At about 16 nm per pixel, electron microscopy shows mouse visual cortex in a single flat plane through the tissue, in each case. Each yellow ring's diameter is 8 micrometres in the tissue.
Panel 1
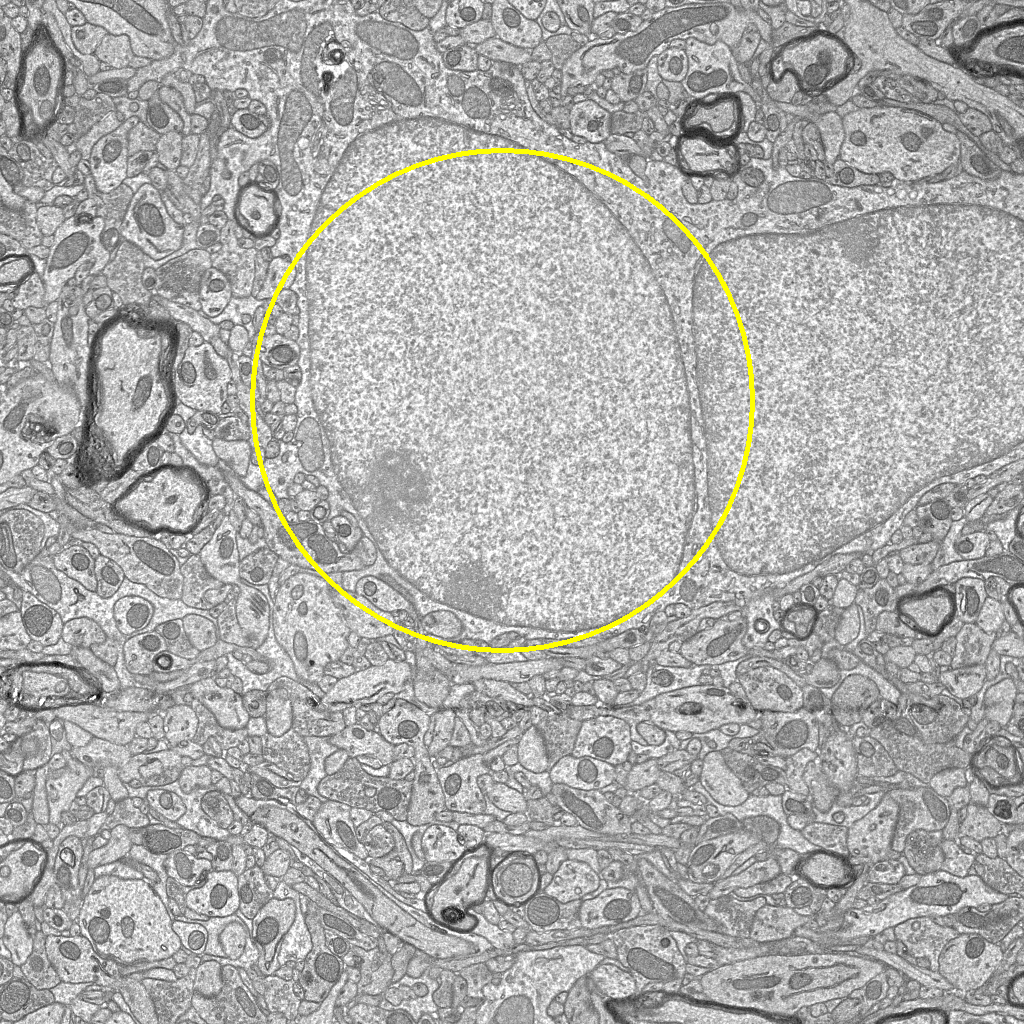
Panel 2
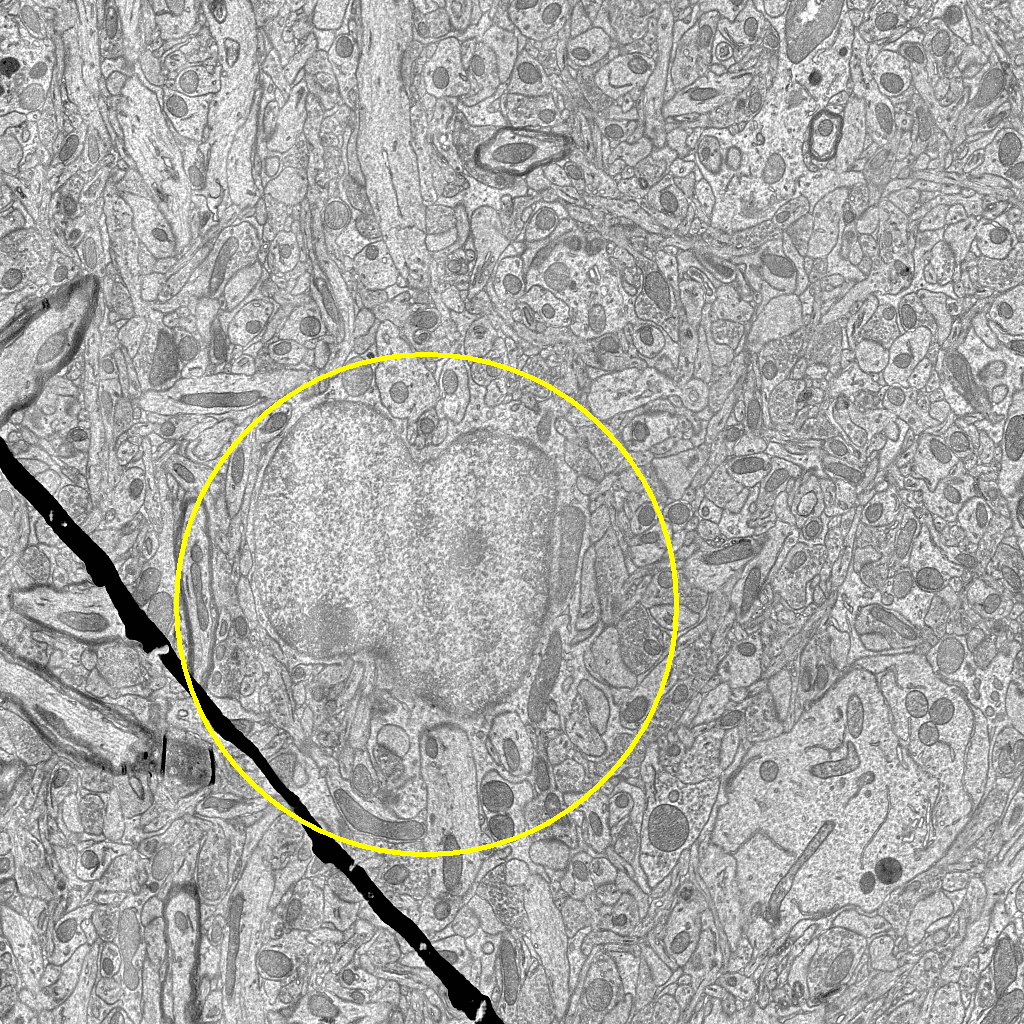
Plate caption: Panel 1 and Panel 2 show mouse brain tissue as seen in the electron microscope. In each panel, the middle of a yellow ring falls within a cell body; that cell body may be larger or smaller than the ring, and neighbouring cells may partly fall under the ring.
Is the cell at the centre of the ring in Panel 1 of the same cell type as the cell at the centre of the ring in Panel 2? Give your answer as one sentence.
Yes, the two cells are of the same type.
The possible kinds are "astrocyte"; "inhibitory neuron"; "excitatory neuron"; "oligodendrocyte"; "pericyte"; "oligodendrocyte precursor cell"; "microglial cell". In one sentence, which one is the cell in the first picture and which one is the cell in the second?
Each of the two rings surrounds an astrocyte.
